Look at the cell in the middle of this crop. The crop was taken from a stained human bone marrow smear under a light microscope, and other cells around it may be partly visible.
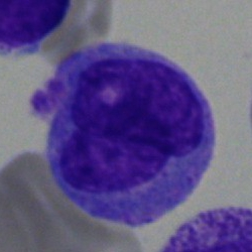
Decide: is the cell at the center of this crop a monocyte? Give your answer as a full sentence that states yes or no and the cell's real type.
Yes, the cell at the midpoint of the crop is a monocyte.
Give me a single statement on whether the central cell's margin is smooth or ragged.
An irregular outline, ragged or marked by projections, surrounds this cell.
